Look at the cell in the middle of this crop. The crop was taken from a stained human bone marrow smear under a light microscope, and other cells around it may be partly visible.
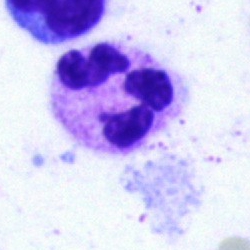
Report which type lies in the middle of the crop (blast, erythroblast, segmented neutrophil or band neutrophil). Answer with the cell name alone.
segmented neutrophil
